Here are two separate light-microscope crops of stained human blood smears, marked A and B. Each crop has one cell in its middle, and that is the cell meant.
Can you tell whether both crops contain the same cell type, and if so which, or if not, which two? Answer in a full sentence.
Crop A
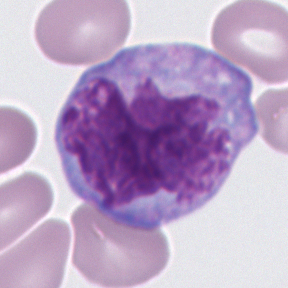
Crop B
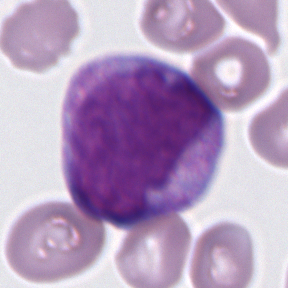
Yes, the two crops show atypical promyelocytes, both of them.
